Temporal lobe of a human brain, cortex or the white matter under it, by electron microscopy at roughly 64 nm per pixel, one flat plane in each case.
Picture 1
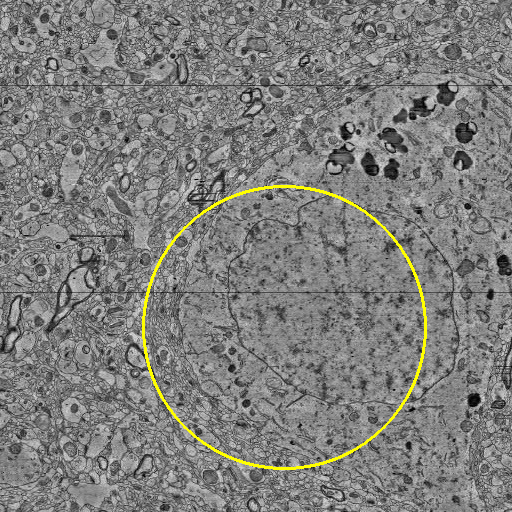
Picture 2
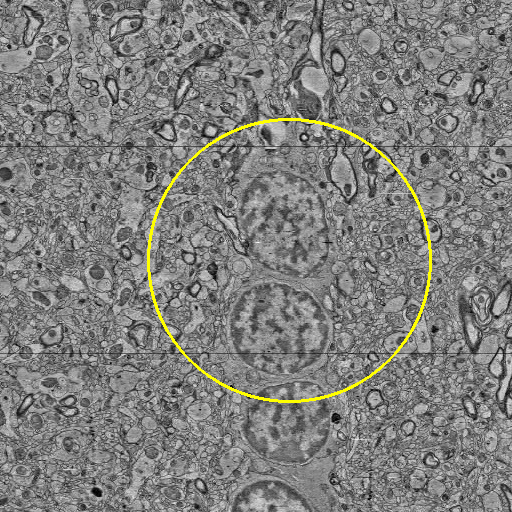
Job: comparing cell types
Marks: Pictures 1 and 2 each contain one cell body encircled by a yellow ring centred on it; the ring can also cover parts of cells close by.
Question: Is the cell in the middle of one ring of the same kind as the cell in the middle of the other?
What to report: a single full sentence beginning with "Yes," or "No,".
No, the cell at the ring centre in Picture 1 and its partner in Picture 2 are of two kinds.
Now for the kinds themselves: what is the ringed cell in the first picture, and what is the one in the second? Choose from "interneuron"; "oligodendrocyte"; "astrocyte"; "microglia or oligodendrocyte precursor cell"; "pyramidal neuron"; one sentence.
Here the first cell is a pyramidal neuron and the second cell is an oligodendrocyte.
